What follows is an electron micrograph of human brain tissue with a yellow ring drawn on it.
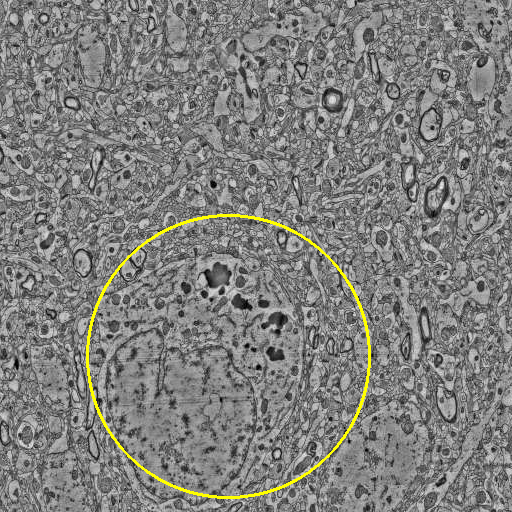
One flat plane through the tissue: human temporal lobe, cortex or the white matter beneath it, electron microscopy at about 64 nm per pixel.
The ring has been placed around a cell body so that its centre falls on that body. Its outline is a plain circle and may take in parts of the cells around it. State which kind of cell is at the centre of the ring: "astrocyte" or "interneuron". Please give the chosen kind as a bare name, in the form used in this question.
interneuron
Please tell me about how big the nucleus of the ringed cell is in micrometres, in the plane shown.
In this plane, the nucleus of the cell at the centre of the ring measures about 11 by 9 micrometres.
